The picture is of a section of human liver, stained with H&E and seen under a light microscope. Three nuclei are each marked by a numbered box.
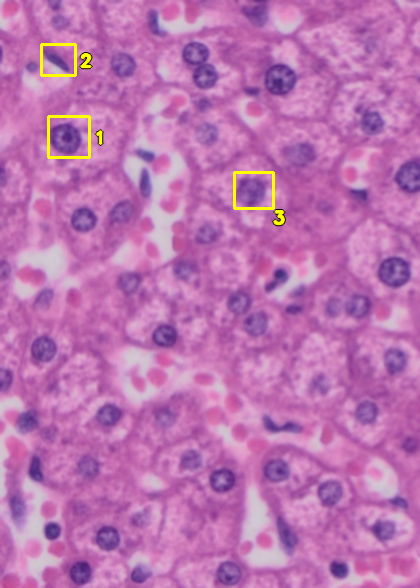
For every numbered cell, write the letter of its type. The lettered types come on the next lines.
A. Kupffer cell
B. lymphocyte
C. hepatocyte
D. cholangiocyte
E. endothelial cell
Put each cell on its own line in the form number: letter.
1: C
2: E
3: C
